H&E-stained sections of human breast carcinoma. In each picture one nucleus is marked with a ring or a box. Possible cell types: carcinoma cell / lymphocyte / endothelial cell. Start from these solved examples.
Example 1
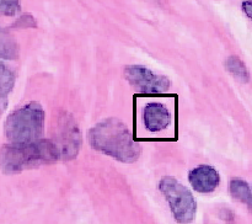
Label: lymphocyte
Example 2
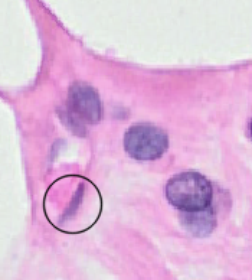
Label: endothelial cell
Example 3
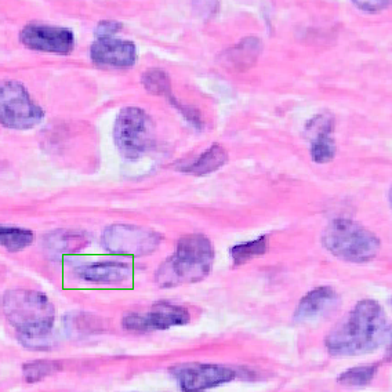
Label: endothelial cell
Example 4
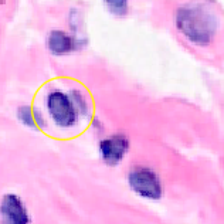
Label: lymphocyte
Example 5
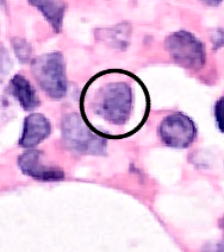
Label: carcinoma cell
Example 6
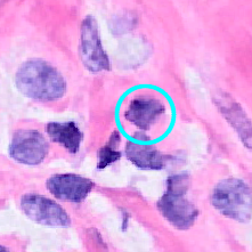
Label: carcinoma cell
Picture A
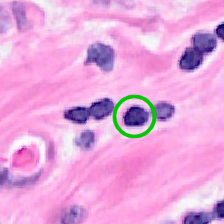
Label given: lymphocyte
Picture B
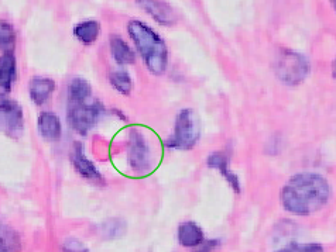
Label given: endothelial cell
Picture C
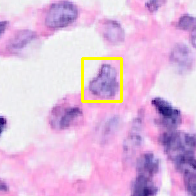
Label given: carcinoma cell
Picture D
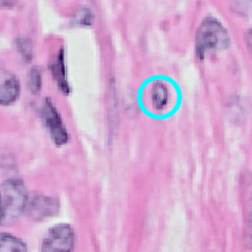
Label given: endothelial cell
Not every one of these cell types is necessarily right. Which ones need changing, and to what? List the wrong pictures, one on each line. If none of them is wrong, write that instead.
No label is wrong.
